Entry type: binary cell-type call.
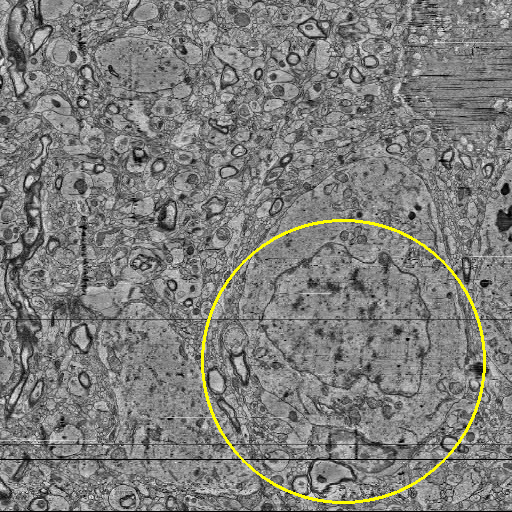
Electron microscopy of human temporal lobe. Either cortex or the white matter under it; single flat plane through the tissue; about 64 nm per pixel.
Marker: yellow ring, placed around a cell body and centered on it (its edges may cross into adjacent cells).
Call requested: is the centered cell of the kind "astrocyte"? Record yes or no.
no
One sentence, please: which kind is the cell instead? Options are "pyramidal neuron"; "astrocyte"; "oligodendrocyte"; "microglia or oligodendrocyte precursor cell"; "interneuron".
Instead, the cell at the centre of the yellow ring is an interneuron.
